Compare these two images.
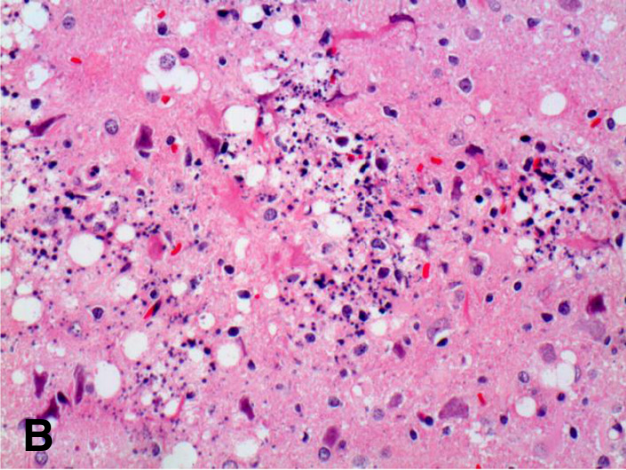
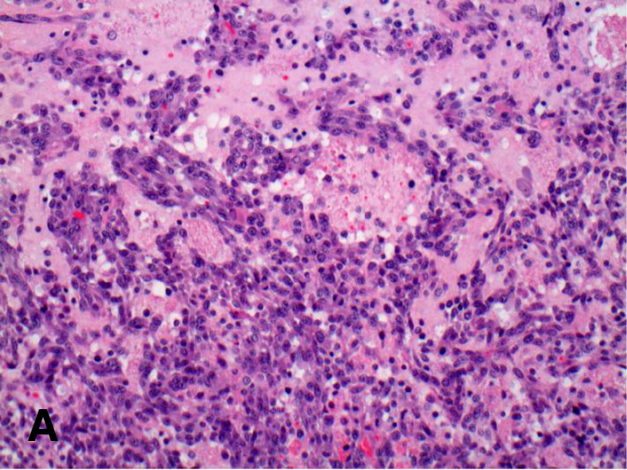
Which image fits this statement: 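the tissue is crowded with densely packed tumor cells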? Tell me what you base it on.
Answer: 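First image: sparse scattered nuclei in pale pink vacuolated tissue. Second image: sheets of crowded dark nuclei filling most of the field. On this evidence: the second image.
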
